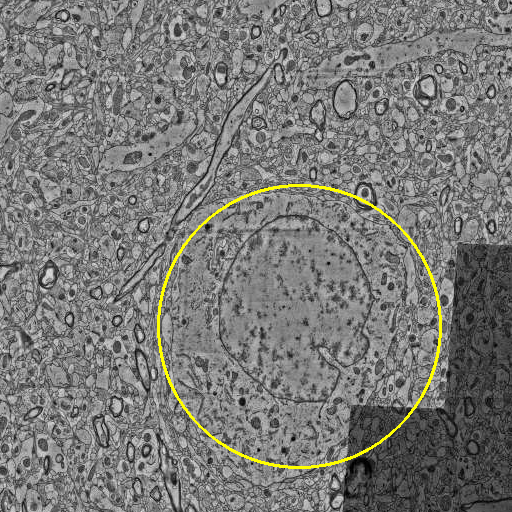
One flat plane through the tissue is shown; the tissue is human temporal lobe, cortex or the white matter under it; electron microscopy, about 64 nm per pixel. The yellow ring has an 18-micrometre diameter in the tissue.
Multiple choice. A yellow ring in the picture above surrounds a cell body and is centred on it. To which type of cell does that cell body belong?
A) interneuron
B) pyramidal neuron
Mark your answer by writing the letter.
B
